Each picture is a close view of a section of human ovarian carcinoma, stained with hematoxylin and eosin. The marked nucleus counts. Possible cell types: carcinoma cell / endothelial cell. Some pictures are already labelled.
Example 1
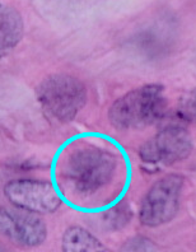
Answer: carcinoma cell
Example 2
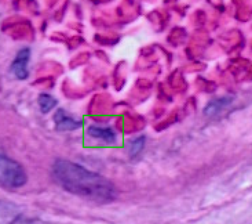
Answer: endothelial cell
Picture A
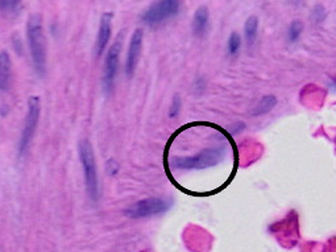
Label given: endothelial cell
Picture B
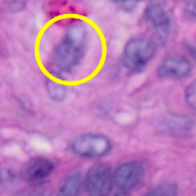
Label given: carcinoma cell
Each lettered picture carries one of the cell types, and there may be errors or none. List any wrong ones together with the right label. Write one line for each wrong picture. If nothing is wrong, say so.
Wrong: B (carcinoma cell); correct: endothelial cell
